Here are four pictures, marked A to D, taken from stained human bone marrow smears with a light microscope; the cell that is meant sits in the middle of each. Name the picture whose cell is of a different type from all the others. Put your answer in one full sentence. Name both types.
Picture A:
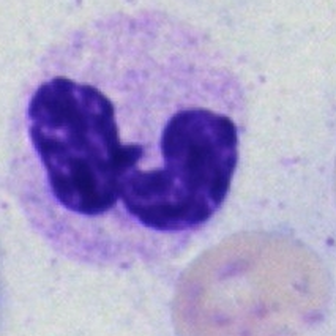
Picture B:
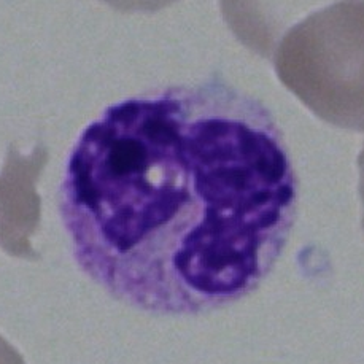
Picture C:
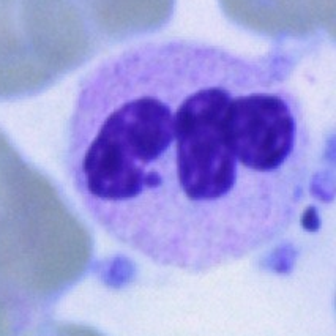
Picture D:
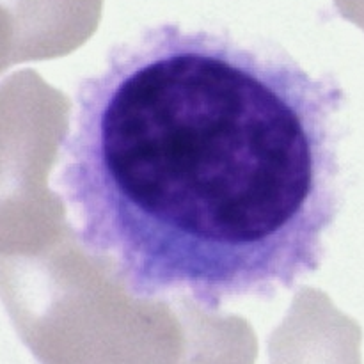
All pictures except D show segmented neutrophils; picture D shows a hairy cell.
